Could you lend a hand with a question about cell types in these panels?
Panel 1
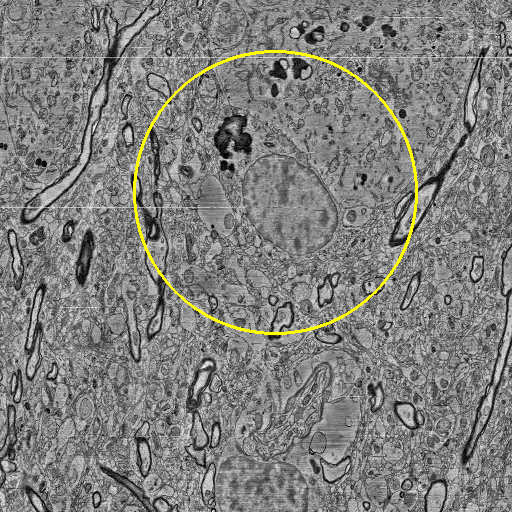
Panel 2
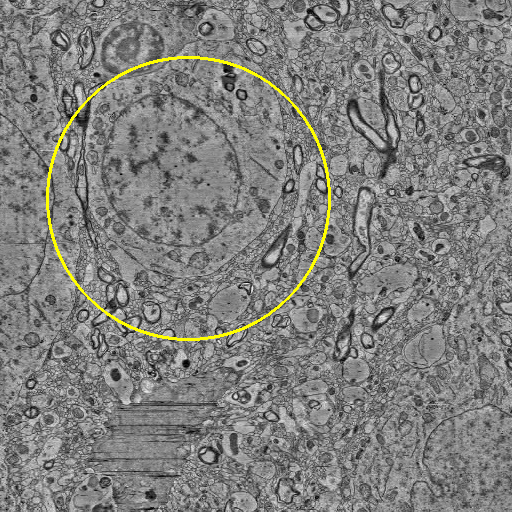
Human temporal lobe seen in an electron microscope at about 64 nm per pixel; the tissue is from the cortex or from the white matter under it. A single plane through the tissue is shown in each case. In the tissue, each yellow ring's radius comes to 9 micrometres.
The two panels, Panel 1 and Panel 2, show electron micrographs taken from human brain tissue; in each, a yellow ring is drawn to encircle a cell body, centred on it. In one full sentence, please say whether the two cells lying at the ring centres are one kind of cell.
No, the cells at the ring centres in the two panels are two kinds of cell.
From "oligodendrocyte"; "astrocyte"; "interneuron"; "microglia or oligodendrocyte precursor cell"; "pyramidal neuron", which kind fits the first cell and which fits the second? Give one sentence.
The cell marked in the first picture is an oligodendrocyte, and the one marked in the second is a pyramidal neuron.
